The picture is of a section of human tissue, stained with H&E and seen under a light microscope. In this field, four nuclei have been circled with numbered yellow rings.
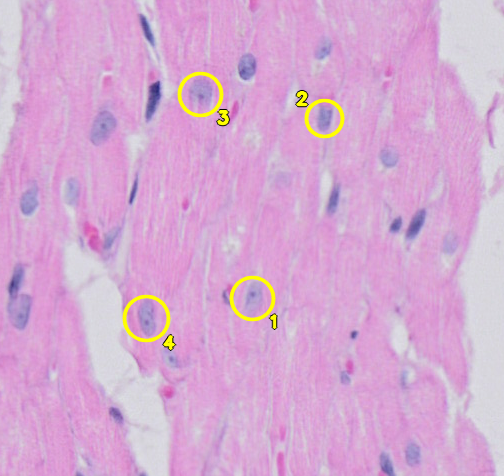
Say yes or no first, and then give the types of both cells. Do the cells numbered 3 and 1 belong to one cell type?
Yes, the two cells, 3 and 1, are both cardiomyocytes.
